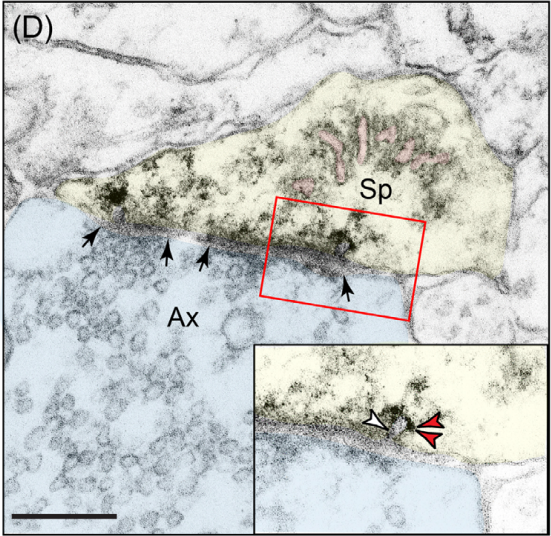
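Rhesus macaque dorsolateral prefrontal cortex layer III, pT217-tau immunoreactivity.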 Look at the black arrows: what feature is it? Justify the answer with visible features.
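The arrows lie along a long apposition between the yellow profile and the blue profile. A dark thickening lines the membrane of the yellow profile there. The blue profile is packed with small round vesicles.
Hence: synapse.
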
